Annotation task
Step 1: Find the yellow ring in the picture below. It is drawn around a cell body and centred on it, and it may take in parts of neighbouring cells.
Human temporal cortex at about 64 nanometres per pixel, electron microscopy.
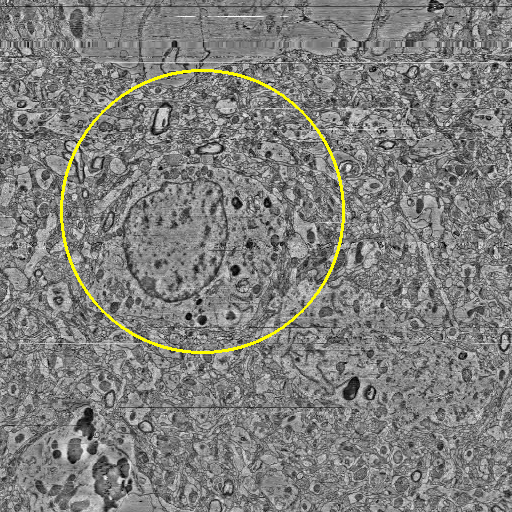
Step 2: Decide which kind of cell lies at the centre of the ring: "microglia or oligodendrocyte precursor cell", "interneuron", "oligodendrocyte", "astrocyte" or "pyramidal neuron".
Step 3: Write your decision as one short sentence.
The kind of cell at the ring's centre is a pyramidal neuron.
